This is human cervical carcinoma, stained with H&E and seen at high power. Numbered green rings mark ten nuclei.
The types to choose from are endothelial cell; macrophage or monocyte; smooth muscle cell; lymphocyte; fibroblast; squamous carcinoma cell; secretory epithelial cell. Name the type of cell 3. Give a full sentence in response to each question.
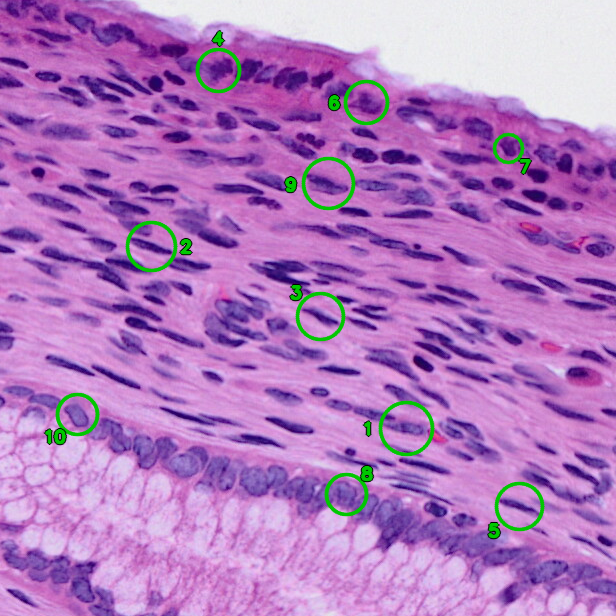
The nucleus marked 3 is the nucleus of a fibroblast.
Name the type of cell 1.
Heads up, the cell numbered 1 is an endothelial cell.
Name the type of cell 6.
The cell marked with the number 6 is a secretory epithelial cell.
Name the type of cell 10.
The cell that is numbered 10 is a secretory epithelial cell.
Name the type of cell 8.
The label 8 in this section denotes a secretory epithelial cell.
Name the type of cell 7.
That cell with number 7 is a secretory epithelial cell.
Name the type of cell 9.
The cell assigned the number 9 is an endothelial cell.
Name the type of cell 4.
In this section, number 4 marks a secretory epithelial cell.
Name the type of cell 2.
The expected answer is that cell 2 is a fibroblast.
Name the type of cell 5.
The cell that carries the label 5 is a fibroblast.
